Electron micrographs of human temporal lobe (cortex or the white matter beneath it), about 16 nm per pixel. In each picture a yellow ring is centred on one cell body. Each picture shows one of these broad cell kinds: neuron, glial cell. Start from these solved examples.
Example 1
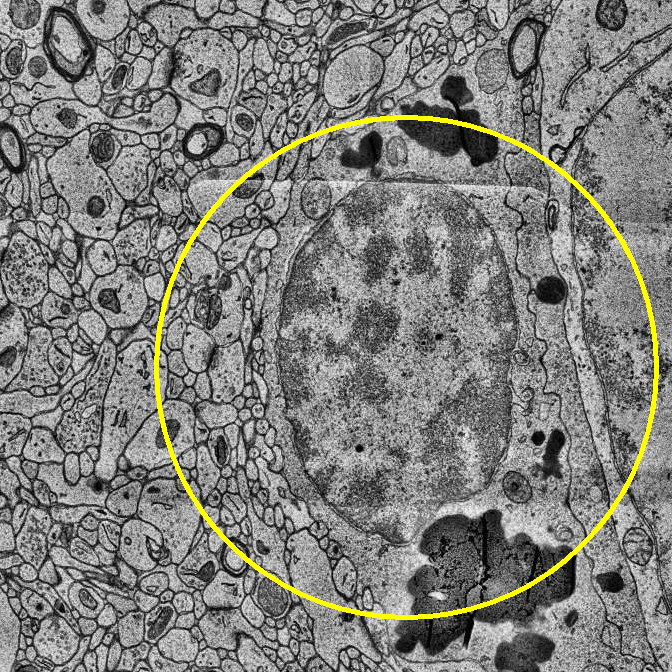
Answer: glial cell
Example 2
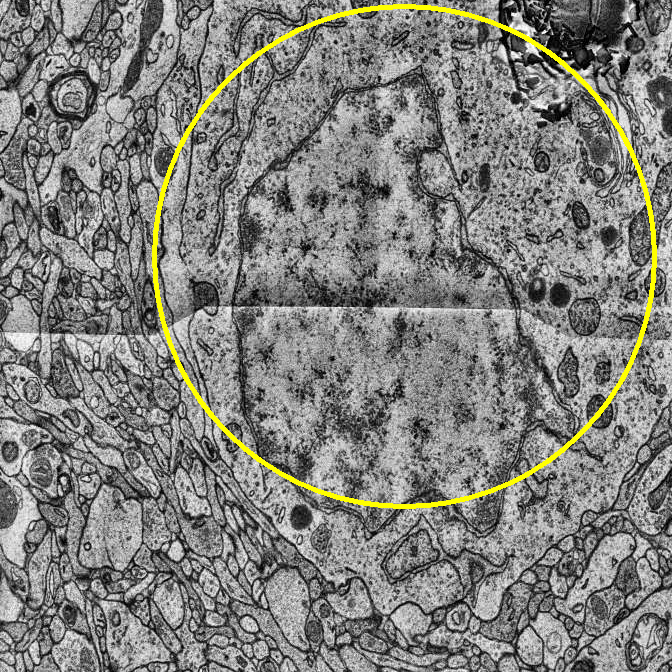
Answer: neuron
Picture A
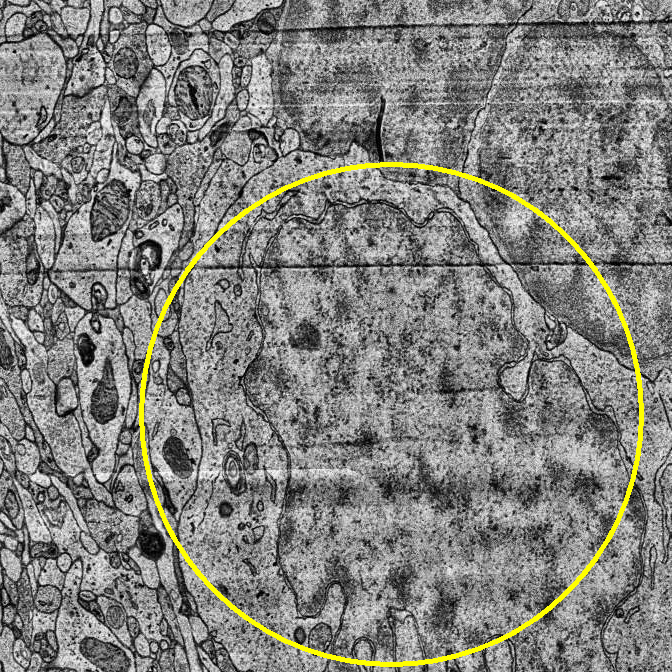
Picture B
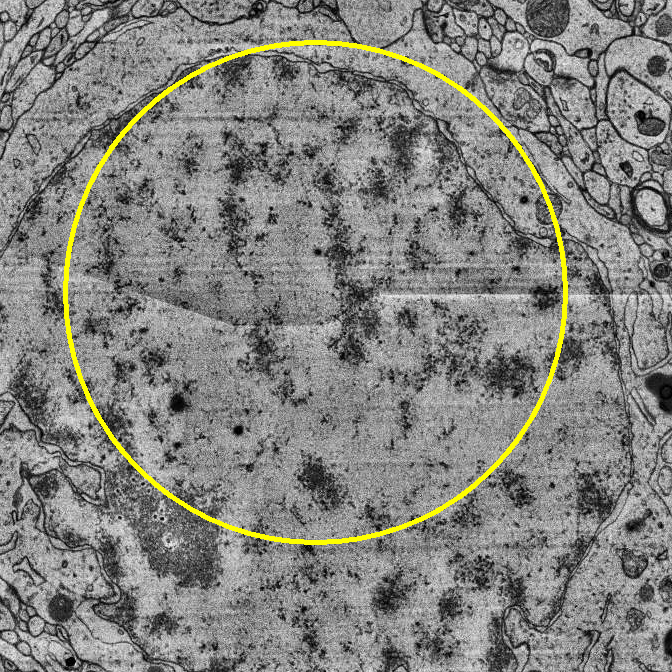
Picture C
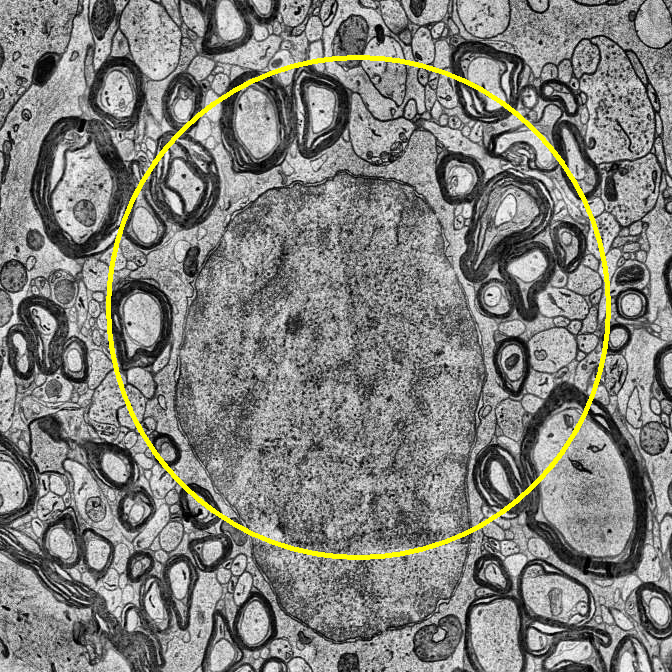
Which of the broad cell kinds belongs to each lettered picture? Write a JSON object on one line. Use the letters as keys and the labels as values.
{"A": "neuron", "B": "neuron", "C": "glial cell"}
